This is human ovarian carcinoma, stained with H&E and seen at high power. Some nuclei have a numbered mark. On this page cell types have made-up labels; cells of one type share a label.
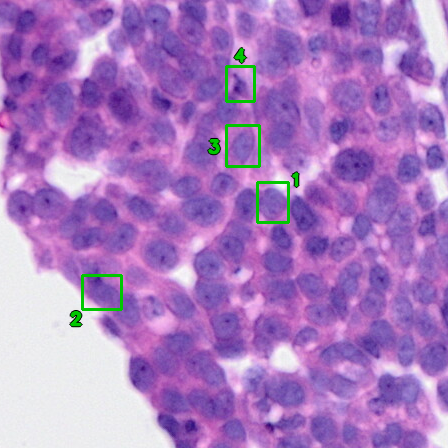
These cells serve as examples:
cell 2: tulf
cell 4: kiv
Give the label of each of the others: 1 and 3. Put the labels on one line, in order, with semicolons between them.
tulf; tulf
